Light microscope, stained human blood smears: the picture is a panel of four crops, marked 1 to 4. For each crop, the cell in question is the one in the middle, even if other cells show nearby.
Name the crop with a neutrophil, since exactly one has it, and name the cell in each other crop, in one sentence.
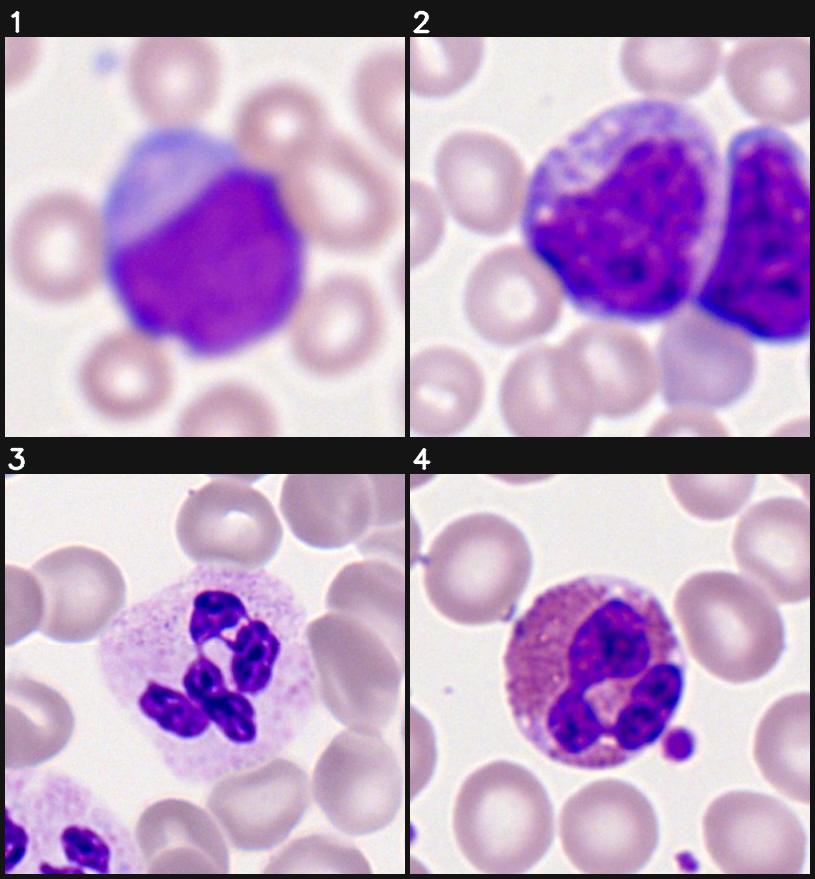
The middle of crop 3 is occupied by a neutrophil, while crop 1 is a blast, crop 2 is a monocyte and crop 4 is an eosinophil.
